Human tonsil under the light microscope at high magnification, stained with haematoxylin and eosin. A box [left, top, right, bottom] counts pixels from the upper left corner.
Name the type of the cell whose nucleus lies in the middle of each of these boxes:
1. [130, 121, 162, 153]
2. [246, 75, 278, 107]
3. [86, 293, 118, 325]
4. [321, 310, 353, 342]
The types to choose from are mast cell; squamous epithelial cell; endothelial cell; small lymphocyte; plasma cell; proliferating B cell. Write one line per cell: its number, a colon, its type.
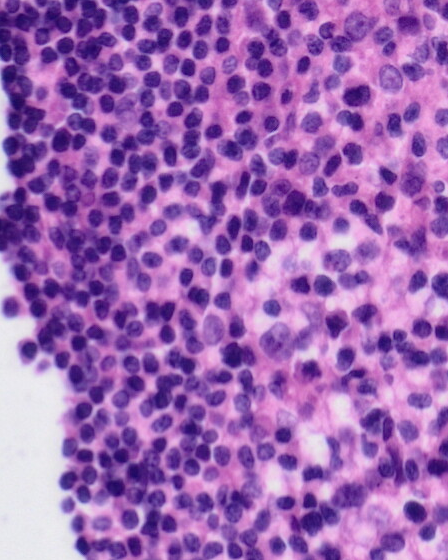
1: small lymphocyte
2: plasma cell
3: small lymphocyte
4: proliferating B cell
